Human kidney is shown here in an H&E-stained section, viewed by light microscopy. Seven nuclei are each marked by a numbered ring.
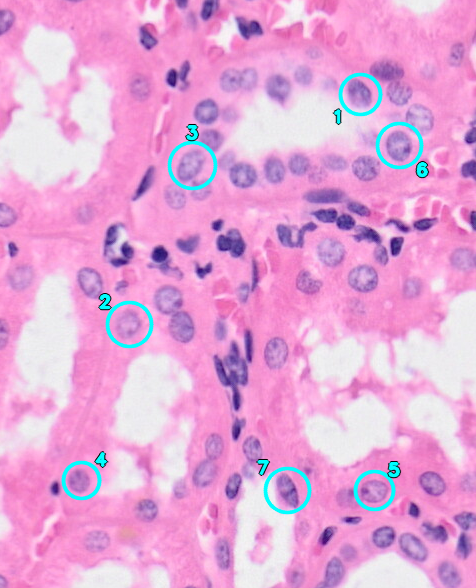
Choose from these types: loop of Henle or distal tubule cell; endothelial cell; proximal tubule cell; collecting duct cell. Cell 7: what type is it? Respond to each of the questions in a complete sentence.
The cell that is numbered 7 is a loop of Henle or distal tubule cell.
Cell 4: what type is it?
The marked cell with the number 4 is recognised as a proximal tubule cell.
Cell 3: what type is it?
The cell carrying label 3 is identified as a collecting duct cell.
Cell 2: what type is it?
The numeral 2 marks a proximal tubule cell in this section.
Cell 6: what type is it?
Identified by the number 6, the cell is a collecting duct cell.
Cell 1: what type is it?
The cell referenced by the number 1 is a collecting duct cell in this field.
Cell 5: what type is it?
Number 5 is placed on a proximal tubule cell here.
